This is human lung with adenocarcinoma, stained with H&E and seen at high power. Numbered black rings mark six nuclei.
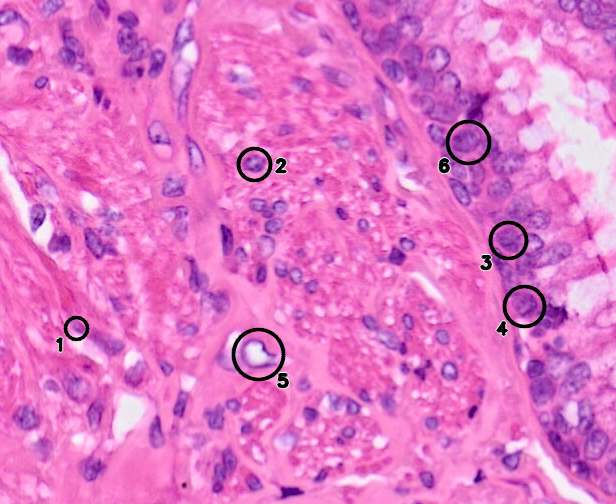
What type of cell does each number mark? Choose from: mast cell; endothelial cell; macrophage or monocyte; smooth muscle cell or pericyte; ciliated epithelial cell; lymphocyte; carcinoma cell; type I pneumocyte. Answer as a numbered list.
1. smooth muscle cell or pericyte
2. mast cell
3. ciliated epithelial cell
4. ciliated epithelial cell
5. endothelial cell
6. ciliated epithelial cell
